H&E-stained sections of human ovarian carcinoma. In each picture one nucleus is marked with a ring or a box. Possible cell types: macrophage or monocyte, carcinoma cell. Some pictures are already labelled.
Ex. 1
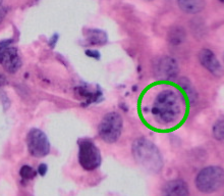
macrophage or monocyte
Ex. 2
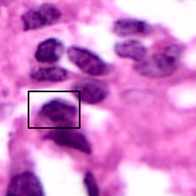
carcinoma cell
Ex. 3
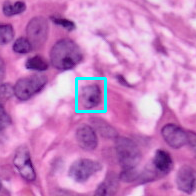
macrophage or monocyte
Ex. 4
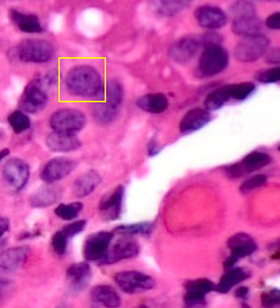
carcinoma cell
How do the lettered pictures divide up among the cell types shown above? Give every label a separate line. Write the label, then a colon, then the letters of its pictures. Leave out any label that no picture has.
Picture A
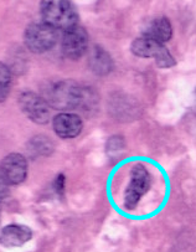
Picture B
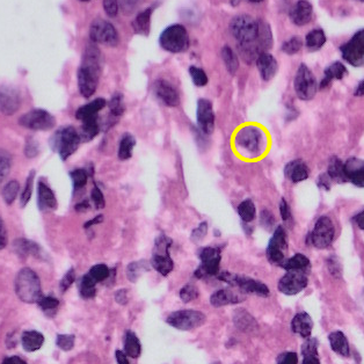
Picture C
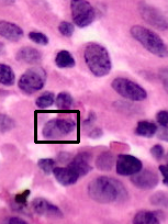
macrophage or monocyte: A, B, C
